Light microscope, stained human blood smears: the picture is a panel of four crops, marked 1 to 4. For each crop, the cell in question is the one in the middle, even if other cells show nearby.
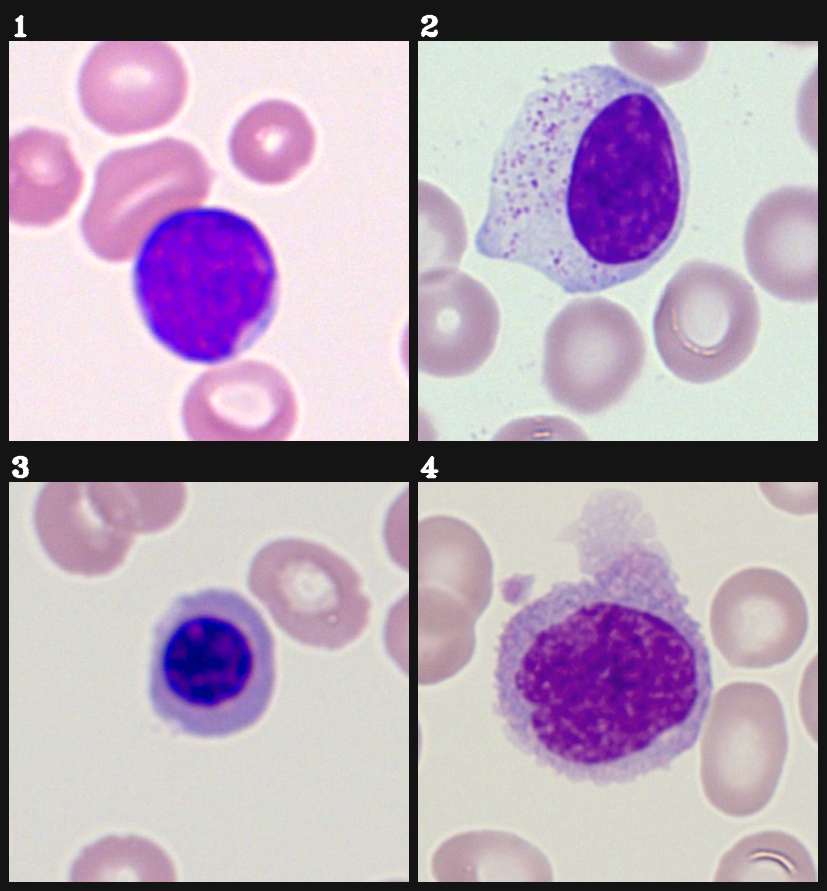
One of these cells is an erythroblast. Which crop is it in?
3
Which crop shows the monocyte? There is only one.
4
